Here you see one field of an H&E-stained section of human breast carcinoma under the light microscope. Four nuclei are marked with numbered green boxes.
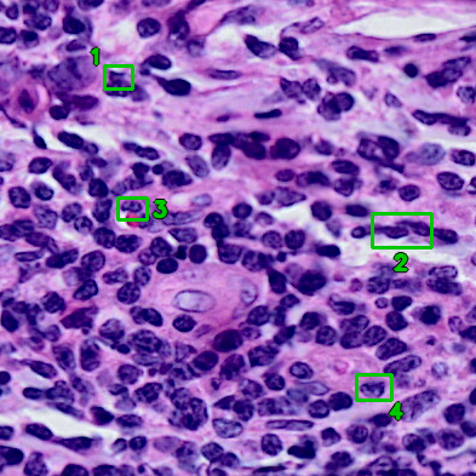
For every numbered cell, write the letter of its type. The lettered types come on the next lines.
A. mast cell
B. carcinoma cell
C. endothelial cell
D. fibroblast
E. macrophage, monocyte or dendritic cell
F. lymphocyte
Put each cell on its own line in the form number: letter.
1: F
2: F
3: C
4: F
